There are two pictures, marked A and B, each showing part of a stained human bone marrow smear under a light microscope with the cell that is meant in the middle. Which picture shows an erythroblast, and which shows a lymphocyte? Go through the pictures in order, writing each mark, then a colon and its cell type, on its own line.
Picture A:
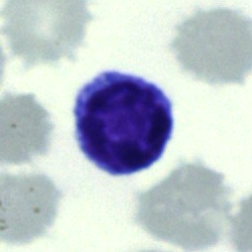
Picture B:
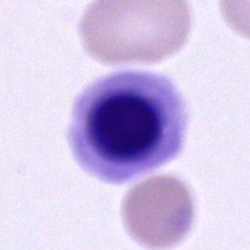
A: lymphocyte
B: erythroblast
